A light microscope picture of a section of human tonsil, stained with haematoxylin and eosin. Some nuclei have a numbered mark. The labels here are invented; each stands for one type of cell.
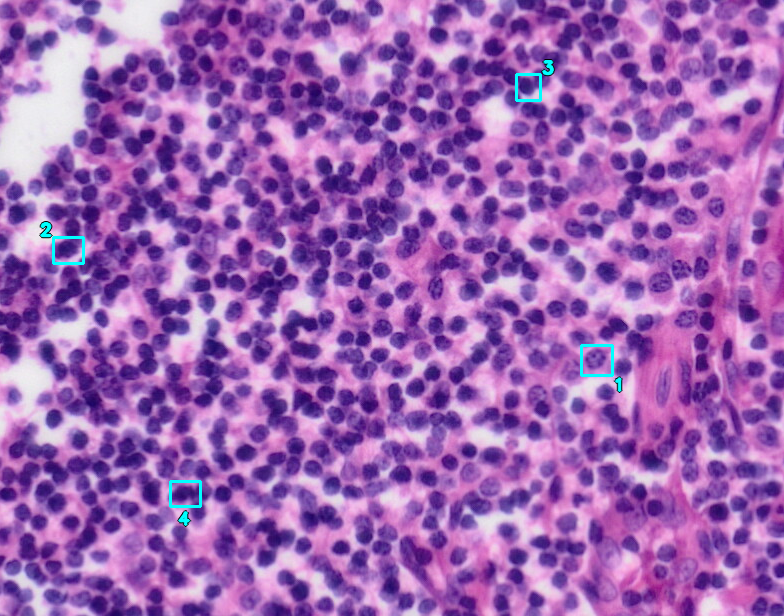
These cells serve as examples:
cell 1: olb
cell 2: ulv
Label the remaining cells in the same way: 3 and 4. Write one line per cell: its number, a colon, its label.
3: ulv
4: ulv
